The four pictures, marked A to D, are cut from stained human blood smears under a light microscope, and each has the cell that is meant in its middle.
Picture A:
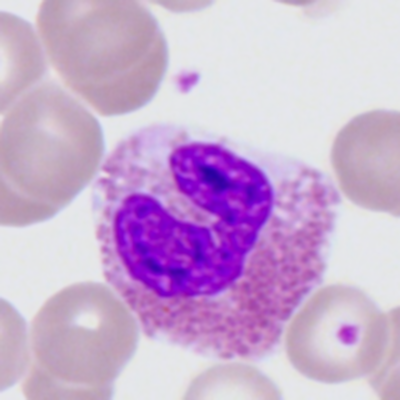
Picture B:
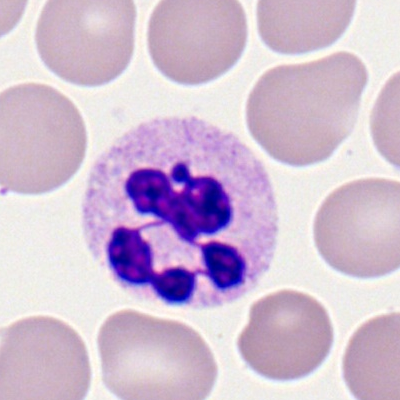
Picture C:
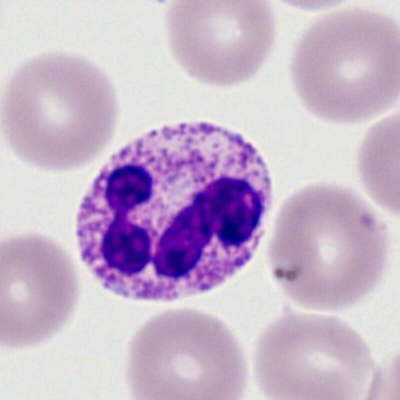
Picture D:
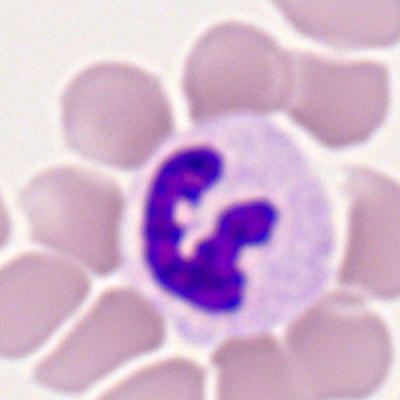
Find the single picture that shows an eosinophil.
A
